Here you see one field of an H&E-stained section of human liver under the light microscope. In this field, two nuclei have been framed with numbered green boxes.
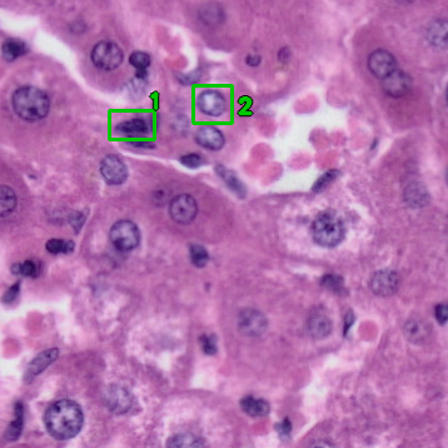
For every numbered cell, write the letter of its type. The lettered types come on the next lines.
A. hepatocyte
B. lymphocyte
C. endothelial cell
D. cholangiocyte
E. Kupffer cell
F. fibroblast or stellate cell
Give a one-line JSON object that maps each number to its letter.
{"1": "F", "2": "D"}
